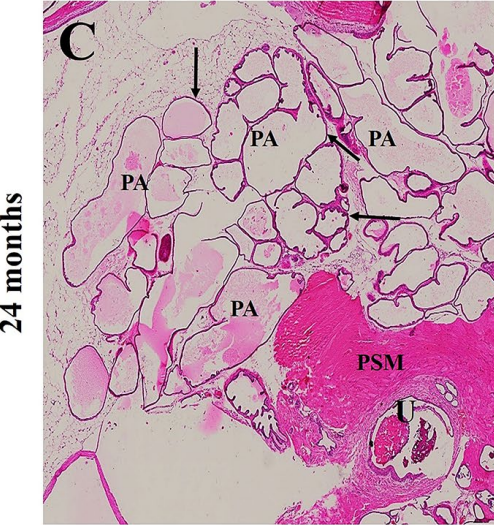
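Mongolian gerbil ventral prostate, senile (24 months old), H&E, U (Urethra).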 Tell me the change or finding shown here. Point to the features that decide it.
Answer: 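Most alveolar linings are smooth with few infoldings. The walls between alveoli are thin. So: alveoli are dilated, usually not folded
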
